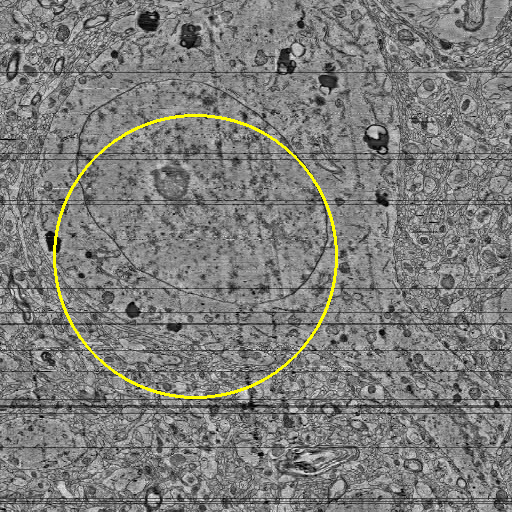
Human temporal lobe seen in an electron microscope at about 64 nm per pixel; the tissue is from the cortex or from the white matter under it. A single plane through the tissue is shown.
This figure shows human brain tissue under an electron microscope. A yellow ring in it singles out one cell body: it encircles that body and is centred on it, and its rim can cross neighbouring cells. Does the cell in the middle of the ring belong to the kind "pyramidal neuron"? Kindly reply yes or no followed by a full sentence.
Yes, the kind asked about is right for the cell centred in the figure's ring.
